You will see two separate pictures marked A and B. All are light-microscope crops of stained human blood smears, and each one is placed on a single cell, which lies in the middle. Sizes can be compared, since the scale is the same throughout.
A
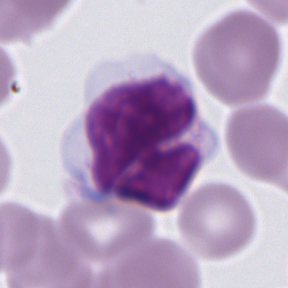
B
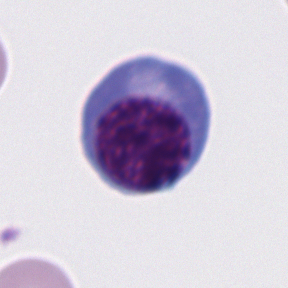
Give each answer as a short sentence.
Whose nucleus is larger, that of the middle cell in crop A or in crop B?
Crop A shows the larger nucleus; it covers about 1.5 times the area of the nucleus in crop B.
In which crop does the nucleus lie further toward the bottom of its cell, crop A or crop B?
The nucleus in crop B lies further toward the bottom of its cell.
